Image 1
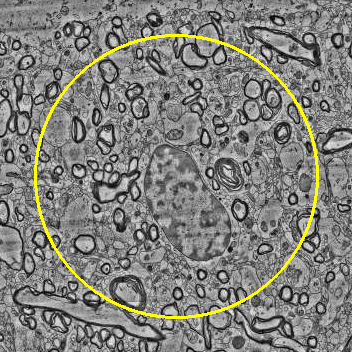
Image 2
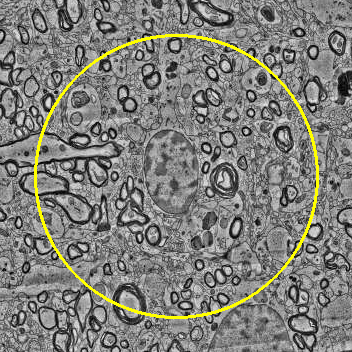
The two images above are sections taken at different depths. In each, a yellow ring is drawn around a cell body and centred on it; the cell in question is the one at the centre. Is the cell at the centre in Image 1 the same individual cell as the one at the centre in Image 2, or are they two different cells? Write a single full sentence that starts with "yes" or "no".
Yes, both rings identify a single, shared cell.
